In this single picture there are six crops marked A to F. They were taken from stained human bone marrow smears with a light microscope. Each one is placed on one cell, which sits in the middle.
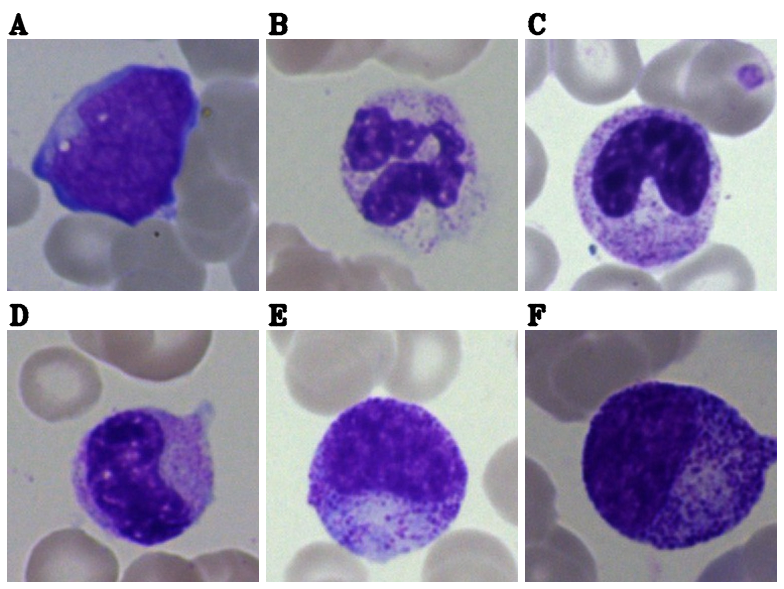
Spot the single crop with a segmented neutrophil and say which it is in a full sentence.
So the crop with a segmented neutrophil at its center is crop B.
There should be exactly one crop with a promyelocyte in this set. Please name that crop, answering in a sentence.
Of these crops, it is crop F that shows a promyelocyte.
